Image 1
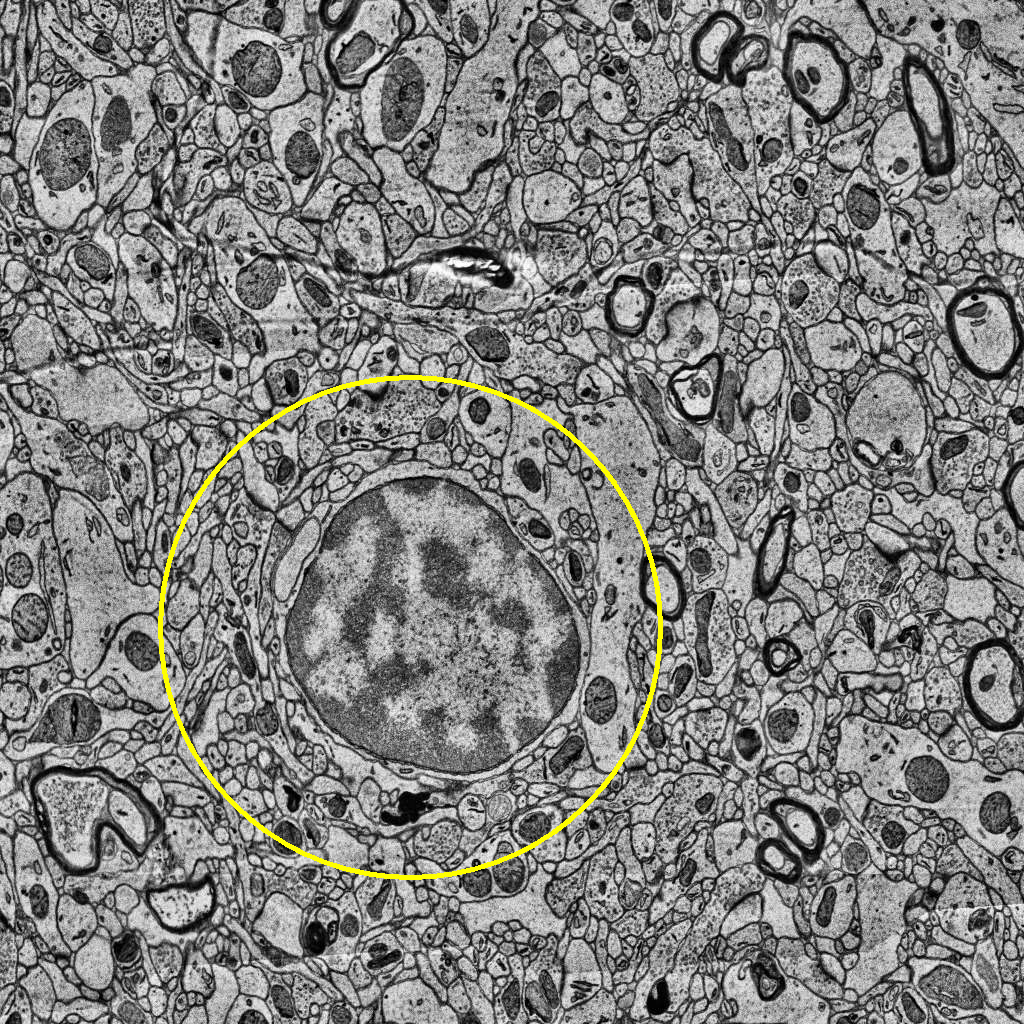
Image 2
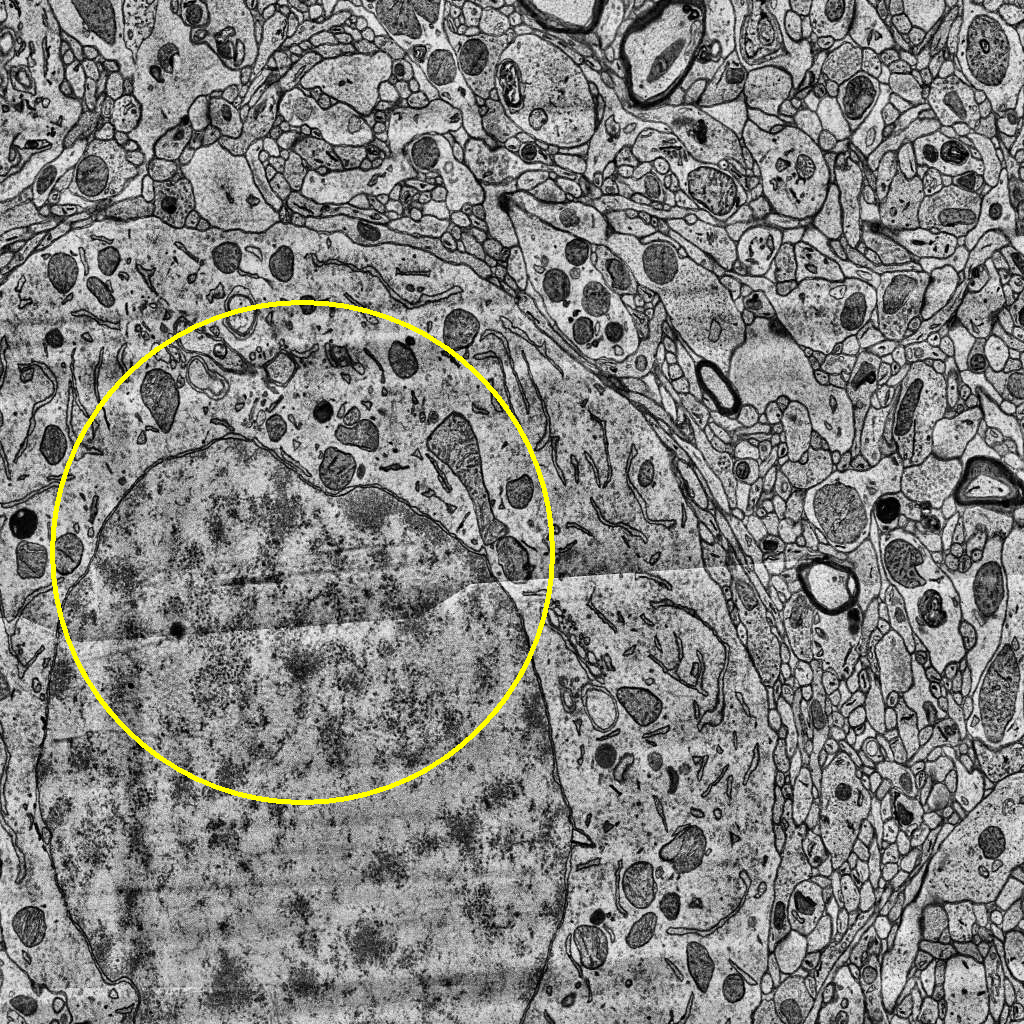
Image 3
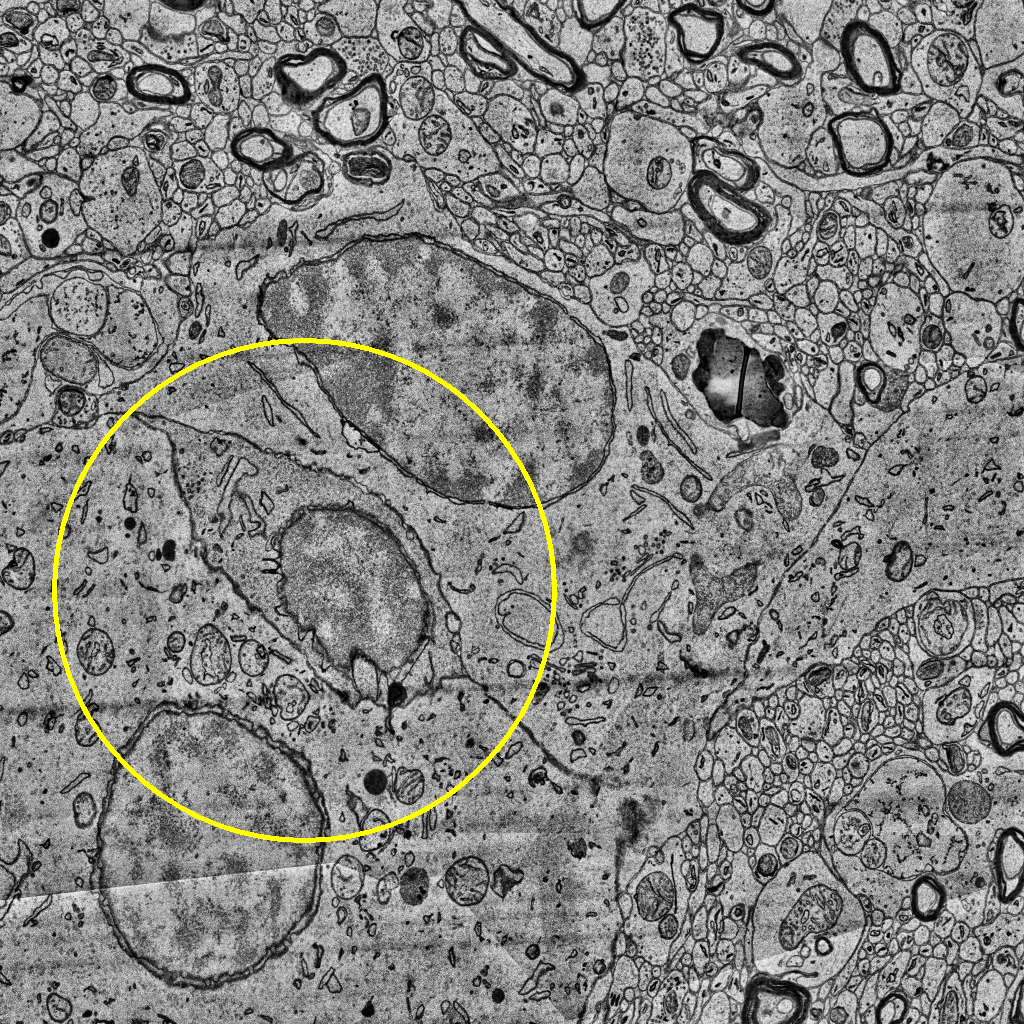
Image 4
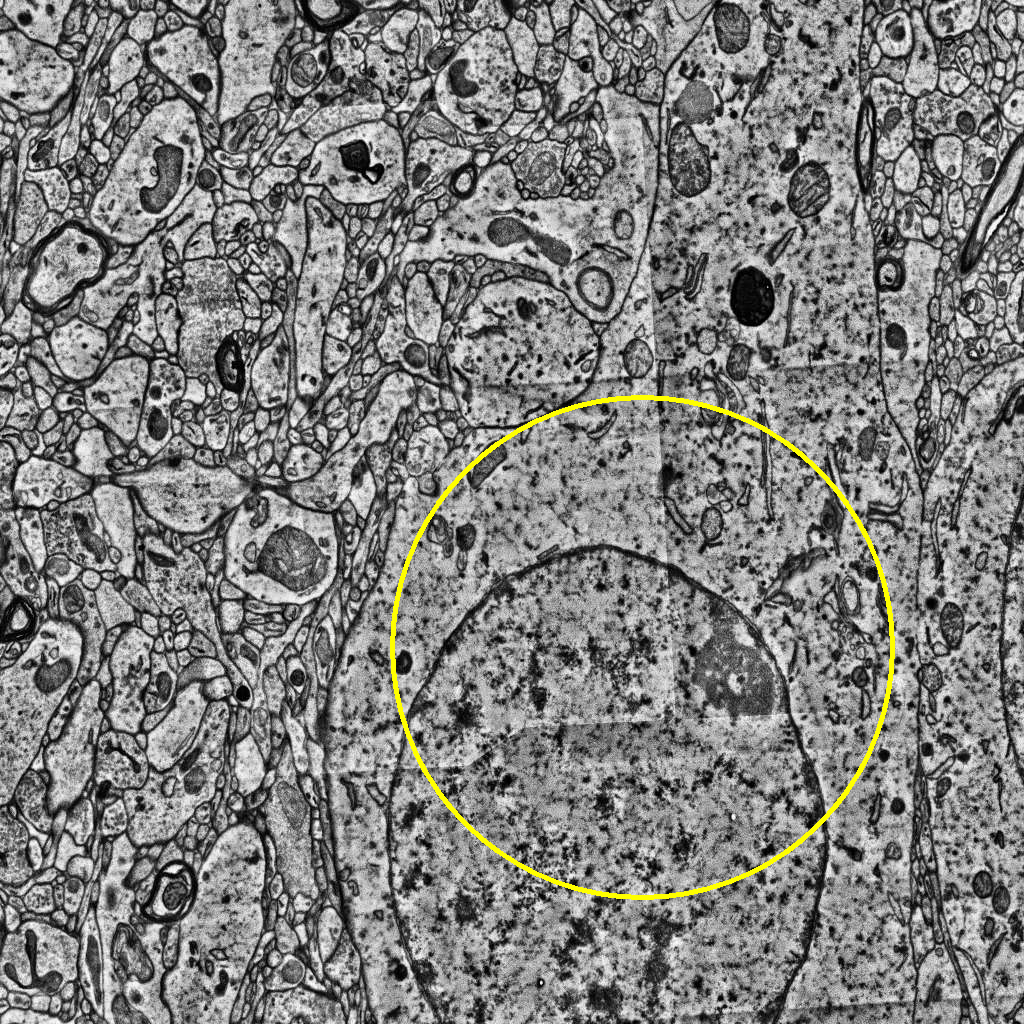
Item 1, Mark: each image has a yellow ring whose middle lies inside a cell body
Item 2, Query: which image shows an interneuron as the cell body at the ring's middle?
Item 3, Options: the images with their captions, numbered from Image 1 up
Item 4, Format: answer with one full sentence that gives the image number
My answer is image 2, where the cell lying under the ring's middle fits.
